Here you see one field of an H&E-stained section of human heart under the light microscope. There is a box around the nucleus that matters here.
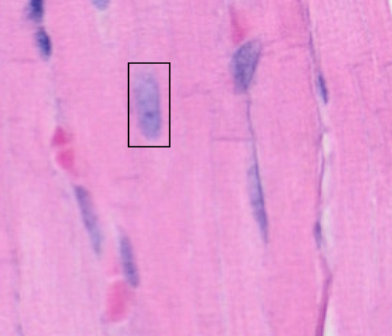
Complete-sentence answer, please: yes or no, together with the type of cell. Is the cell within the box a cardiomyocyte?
Yes, the naming of the cell within the box as a cardiomyocyte is correct.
